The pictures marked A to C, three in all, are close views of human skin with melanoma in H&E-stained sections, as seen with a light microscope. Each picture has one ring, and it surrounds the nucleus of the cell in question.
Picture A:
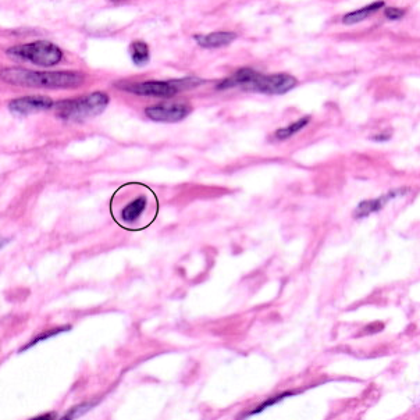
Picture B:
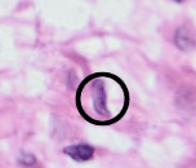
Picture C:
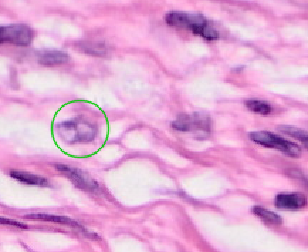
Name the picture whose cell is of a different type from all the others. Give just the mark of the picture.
A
